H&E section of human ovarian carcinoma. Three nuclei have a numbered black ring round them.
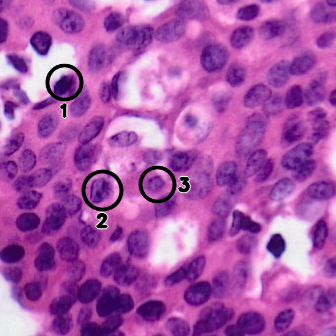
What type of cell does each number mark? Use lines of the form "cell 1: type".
cell 1: carcinoma cell
cell 2: macrophage or monocyte
cell 3: macrophage or monocyte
